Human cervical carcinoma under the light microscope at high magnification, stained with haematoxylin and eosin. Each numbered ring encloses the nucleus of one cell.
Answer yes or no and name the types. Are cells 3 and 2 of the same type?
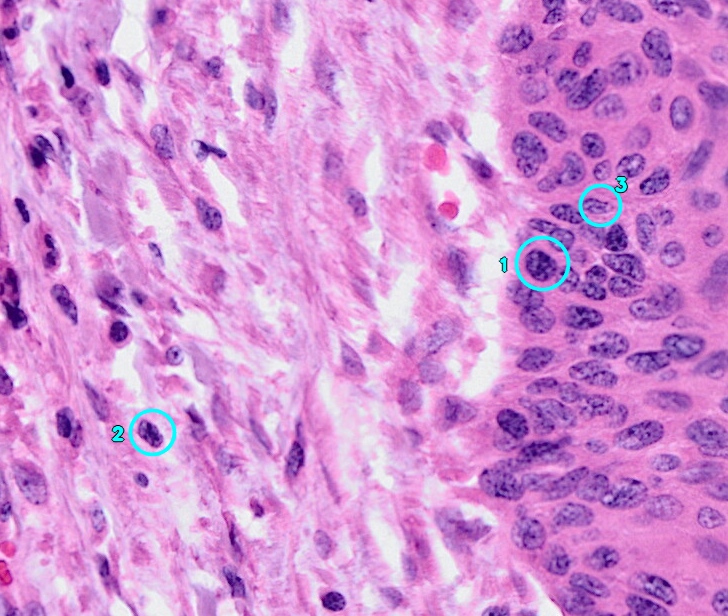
No, the proper labels are a squamous carcinoma cell for cell 3 and a lymphocyte for cell 2.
